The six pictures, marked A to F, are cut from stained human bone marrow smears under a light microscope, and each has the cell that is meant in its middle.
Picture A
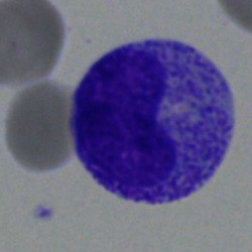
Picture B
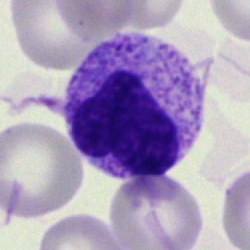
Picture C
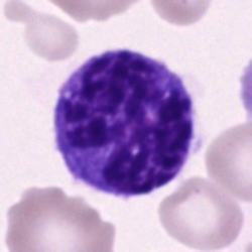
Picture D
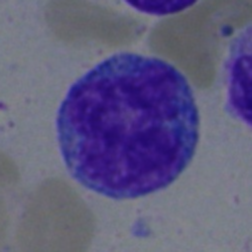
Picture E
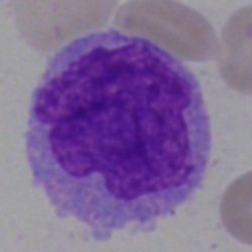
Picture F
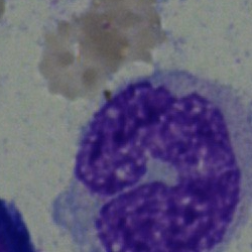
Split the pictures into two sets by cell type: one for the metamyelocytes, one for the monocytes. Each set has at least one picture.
A: metamyelocyte
B: metamyelocyte
C: monocyte
D: monocyte
E: monocyte
F: monocyte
